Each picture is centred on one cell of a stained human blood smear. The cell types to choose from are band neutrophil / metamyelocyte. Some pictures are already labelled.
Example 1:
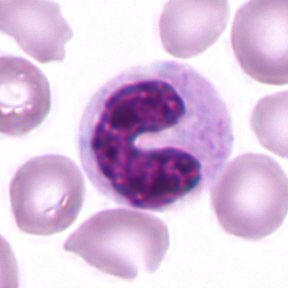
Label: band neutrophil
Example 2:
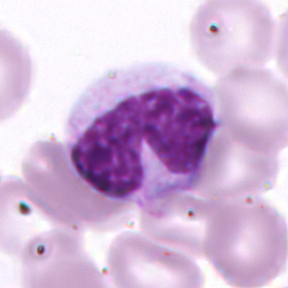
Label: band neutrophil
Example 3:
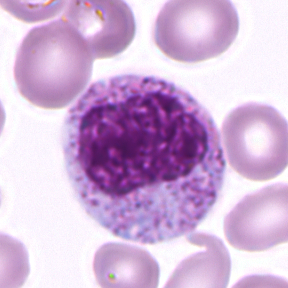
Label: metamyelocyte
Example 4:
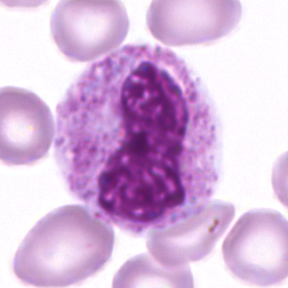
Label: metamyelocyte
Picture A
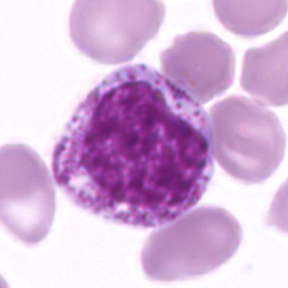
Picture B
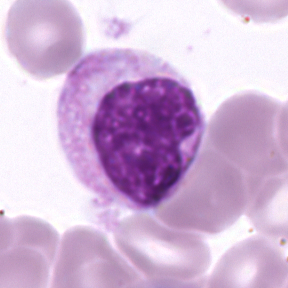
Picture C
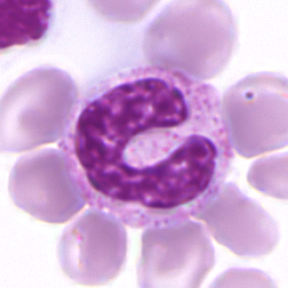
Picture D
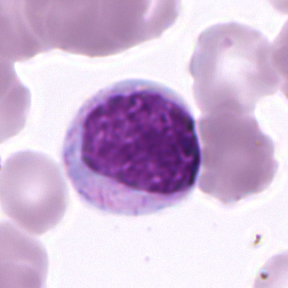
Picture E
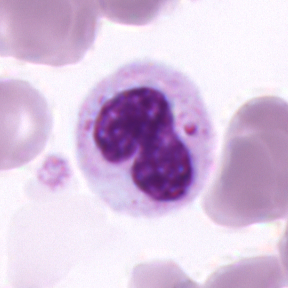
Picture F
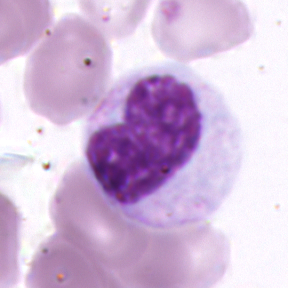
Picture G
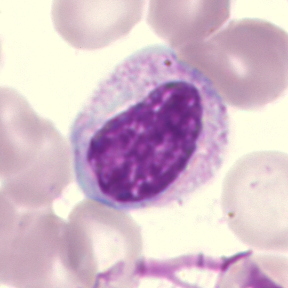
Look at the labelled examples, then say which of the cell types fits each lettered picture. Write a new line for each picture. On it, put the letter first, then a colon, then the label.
A: metamyelocyte
B: metamyelocyte
C: band neutrophil
D: metamyelocyte
E: band neutrophil
F: metamyelocyte
G: metamyelocyte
